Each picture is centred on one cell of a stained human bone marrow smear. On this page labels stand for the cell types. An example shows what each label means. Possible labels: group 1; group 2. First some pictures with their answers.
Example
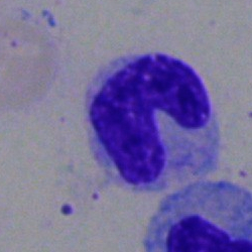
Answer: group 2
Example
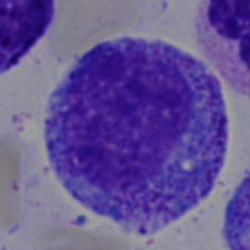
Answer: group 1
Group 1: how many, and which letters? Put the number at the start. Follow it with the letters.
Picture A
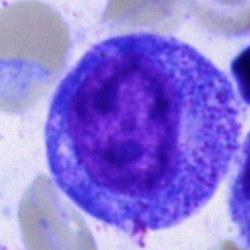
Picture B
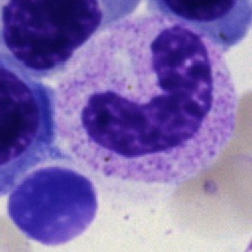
1, namely A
